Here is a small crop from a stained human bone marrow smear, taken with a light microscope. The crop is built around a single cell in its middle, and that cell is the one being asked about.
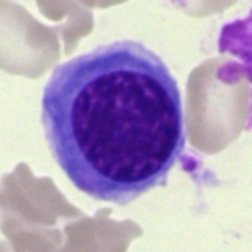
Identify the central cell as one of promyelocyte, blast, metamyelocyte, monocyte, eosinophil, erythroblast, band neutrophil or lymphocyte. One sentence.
This particular crop is centered on an erythroblast.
